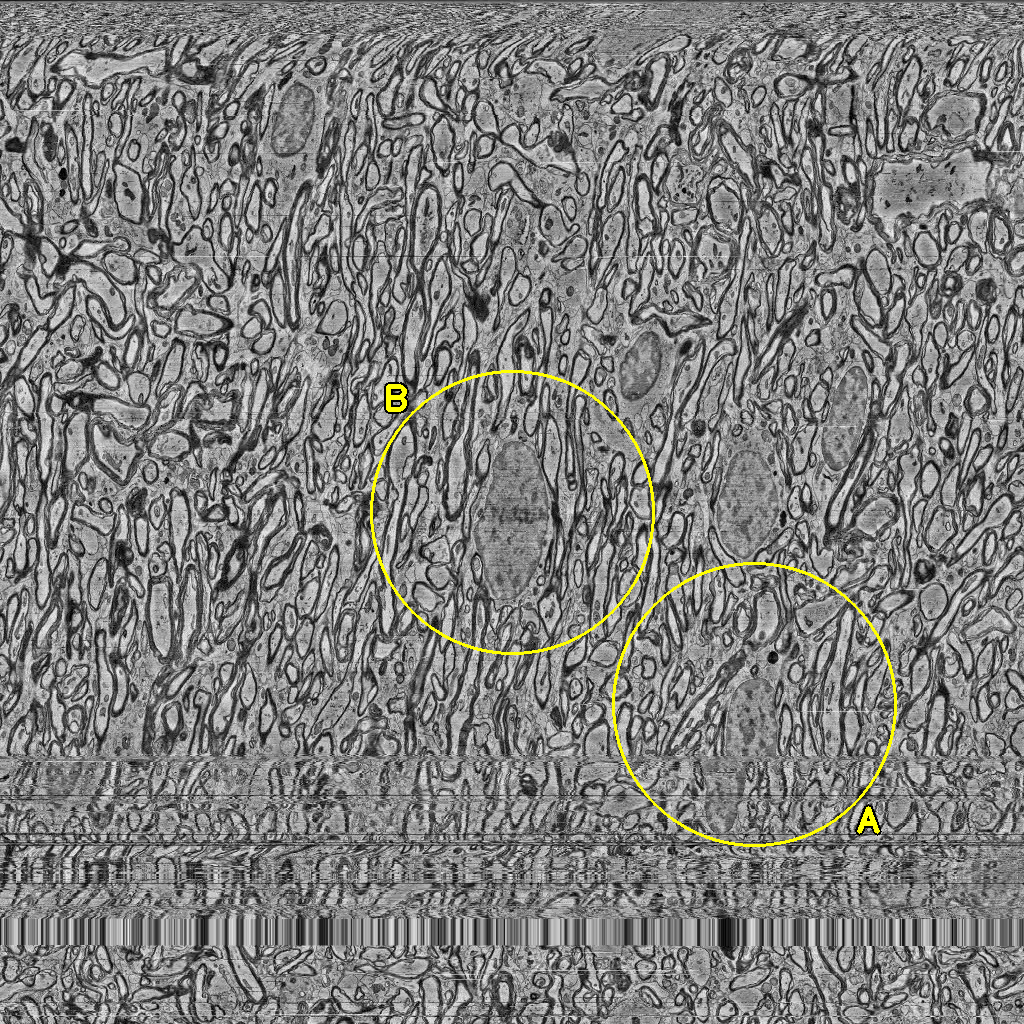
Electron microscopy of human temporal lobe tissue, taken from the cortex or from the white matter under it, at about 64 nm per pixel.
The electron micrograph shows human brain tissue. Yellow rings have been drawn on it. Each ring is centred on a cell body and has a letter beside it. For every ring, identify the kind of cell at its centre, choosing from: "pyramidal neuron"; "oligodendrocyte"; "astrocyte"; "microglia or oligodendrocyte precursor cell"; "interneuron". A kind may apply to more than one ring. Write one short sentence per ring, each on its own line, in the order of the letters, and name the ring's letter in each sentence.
Ring A is centred on a microglial cell or oligodendrocyte precursor cell.
Ring B is centred on an oligodendrocyte.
